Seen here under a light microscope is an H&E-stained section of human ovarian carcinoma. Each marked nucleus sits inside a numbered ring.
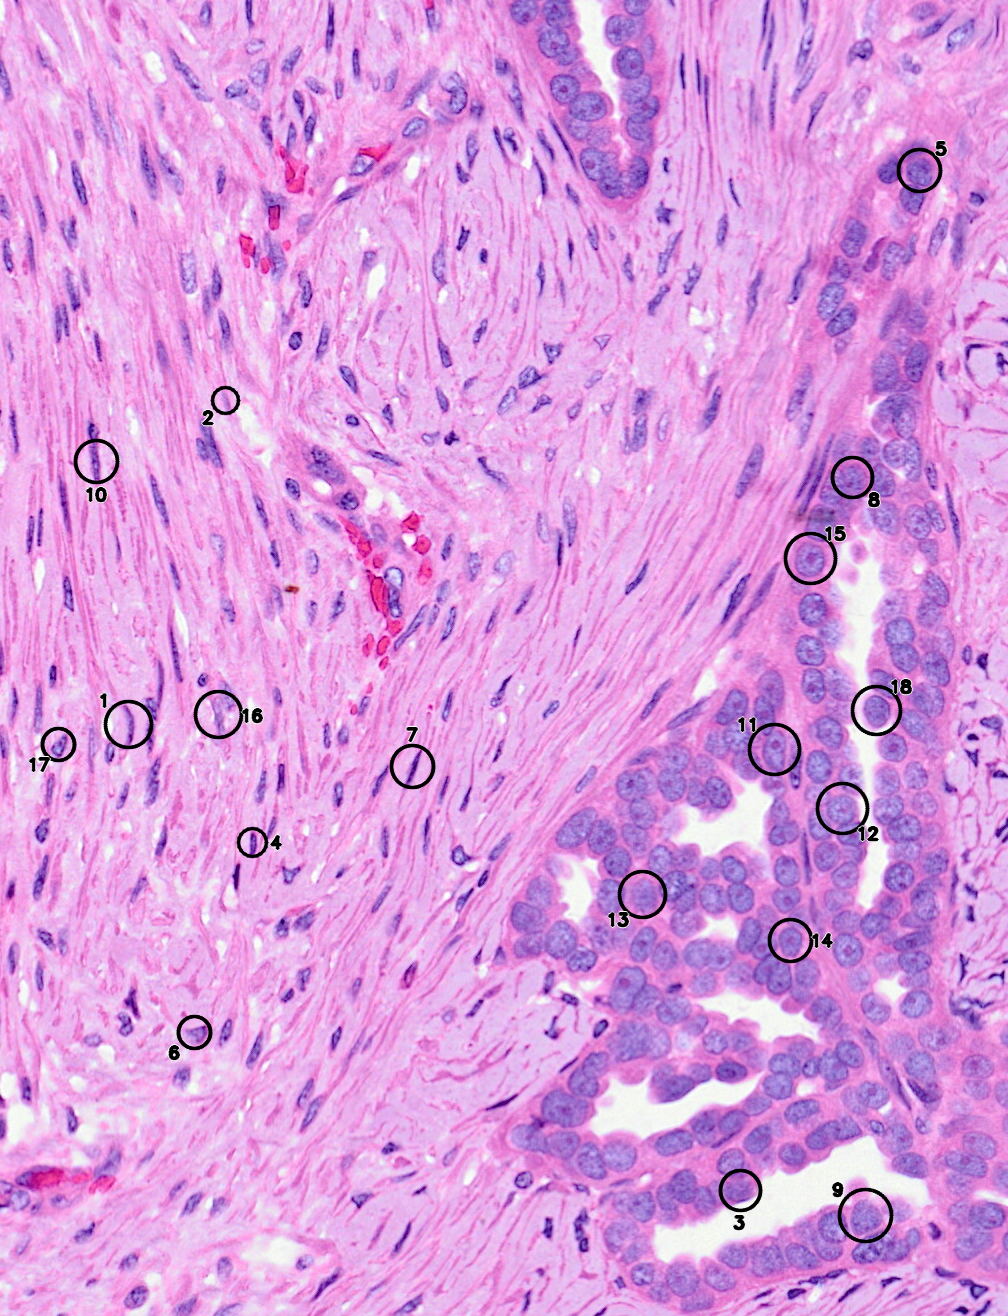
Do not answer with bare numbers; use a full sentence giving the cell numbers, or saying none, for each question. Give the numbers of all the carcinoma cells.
By cell type, the cells numbered 3, 5, 8, 9, 11, 12, 13, 14, 15 and 18 are carcinoma cells.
